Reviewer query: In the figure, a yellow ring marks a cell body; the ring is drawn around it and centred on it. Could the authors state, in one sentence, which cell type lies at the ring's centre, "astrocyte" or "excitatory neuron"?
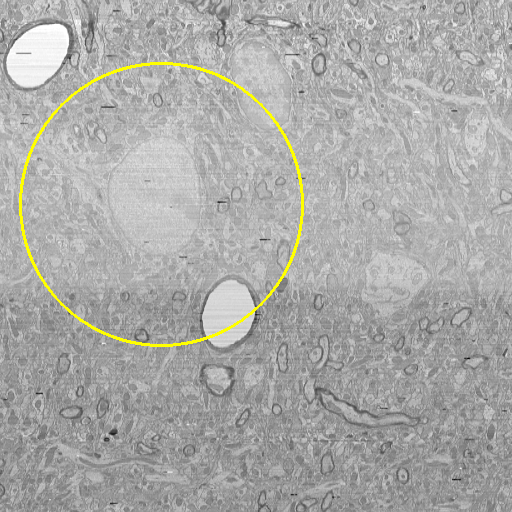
The ring is centred on an astrocyte.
